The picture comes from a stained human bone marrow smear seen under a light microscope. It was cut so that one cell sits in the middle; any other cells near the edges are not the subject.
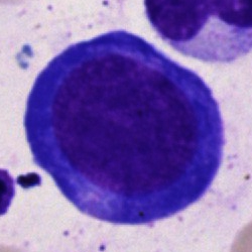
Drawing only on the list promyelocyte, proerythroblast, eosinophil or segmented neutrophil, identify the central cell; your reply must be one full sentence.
Here the cell in the middle is a proerythroblast.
